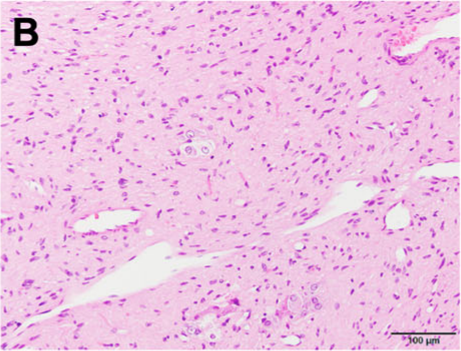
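This is a cellular tumor lesion with cells lying loosely in a pale pink, finely fibrillary eosinophilic background. The cells are scattered rather than forming sheets, and thin-walled vascular spaces run through the tissue. The cytoplasm blends with the surrounding pink matrix so that cell borders are indistinct.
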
